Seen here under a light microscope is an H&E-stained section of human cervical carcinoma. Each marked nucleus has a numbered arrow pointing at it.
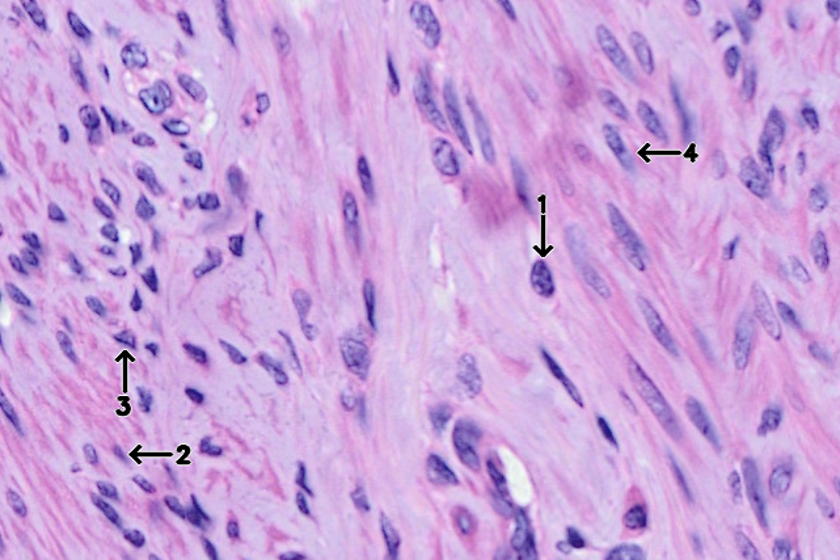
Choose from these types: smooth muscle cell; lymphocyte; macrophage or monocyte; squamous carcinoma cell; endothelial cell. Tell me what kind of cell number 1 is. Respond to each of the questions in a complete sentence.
In this section, the cell tagged 1 is a lymphocyte.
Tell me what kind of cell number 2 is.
Here, the cell given the number 2 is a smooth muscle cell.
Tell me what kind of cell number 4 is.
The cell assigned the number 4 is a smooth muscle cell.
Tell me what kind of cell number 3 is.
The marked nucleus 3 is that of a smooth muscle cell.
